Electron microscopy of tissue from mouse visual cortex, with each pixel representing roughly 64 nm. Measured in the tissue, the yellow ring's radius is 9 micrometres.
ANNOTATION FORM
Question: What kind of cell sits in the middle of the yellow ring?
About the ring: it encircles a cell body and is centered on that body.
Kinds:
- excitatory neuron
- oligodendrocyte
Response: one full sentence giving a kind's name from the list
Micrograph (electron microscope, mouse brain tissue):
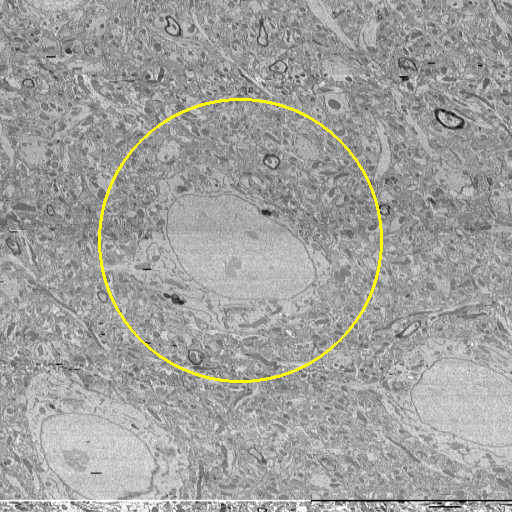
The kind of cell found at the center of the yellow ring in the micrograph is an excitatory neuron.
